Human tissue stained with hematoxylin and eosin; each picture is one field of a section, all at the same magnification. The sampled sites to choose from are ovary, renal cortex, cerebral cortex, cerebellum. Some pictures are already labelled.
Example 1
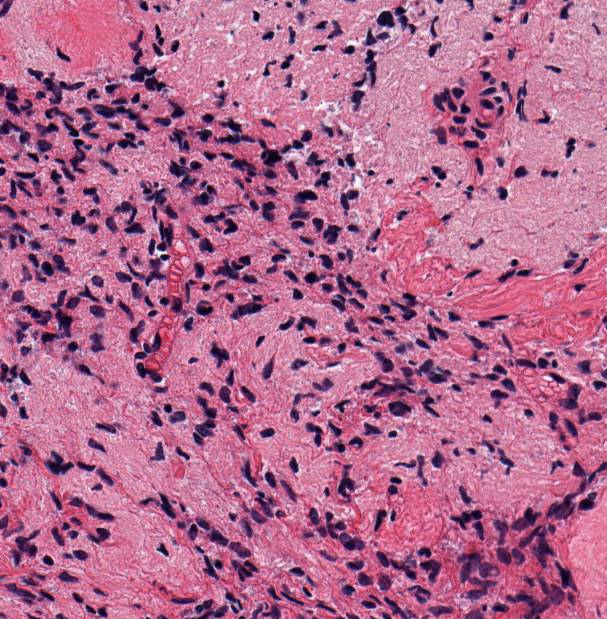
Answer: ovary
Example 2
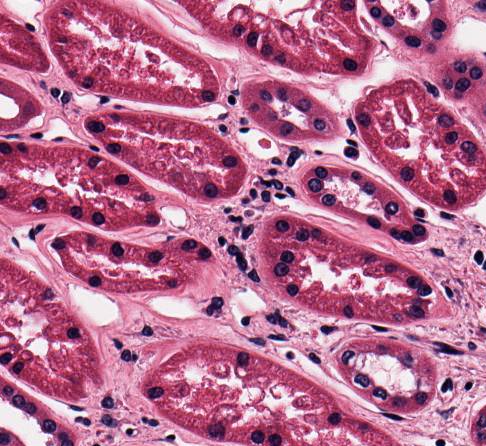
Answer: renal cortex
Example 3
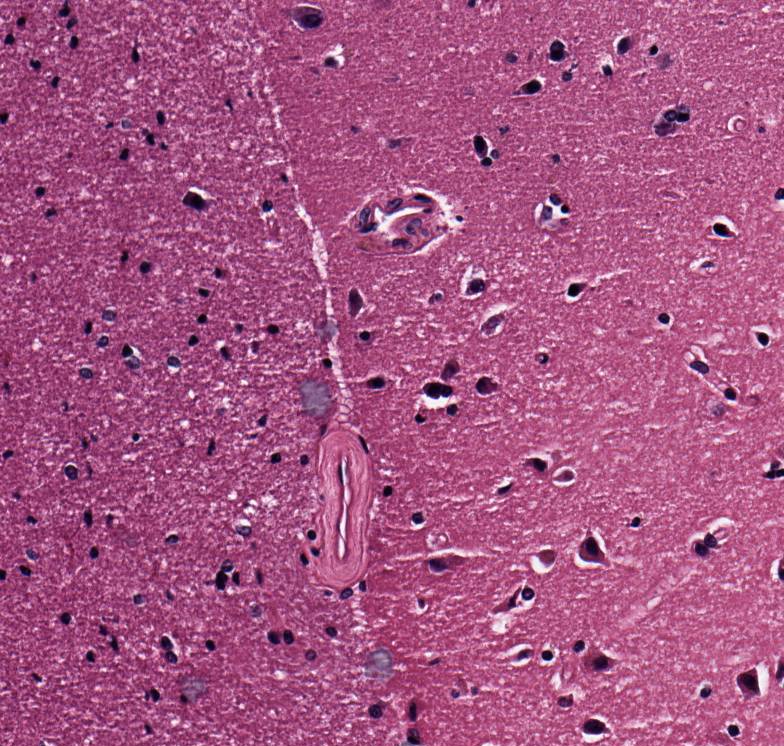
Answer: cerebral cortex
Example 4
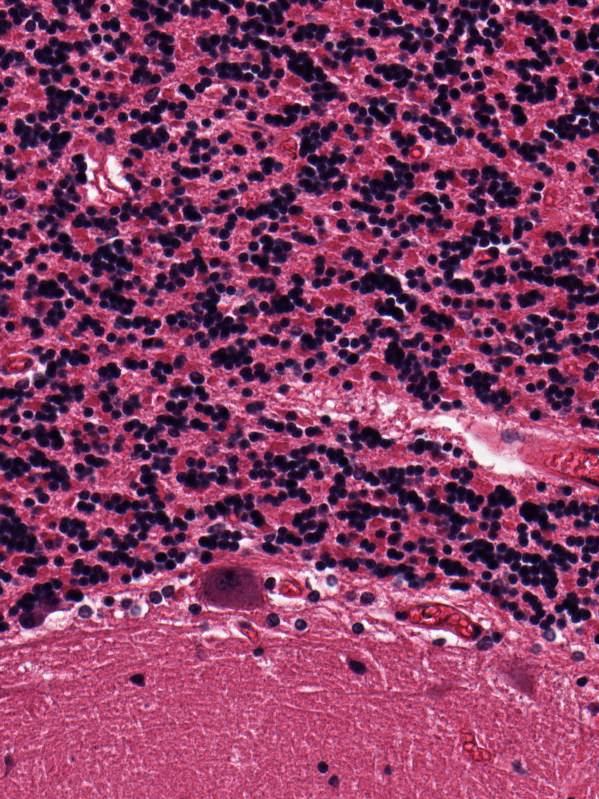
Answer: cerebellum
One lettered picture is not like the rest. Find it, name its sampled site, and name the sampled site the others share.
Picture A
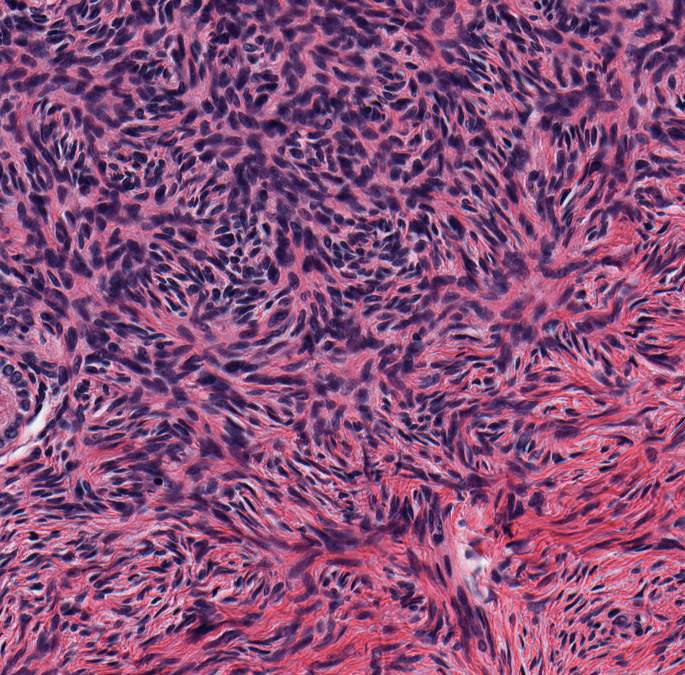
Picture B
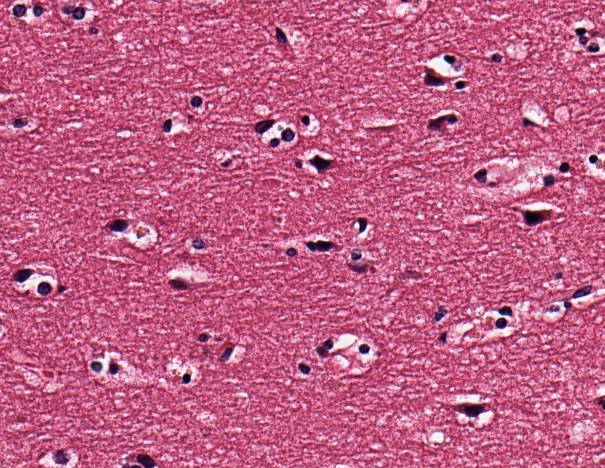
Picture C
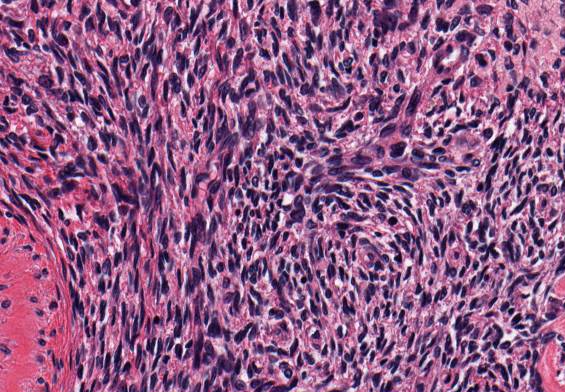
Different: B, cerebral cortex. Others: ovary.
